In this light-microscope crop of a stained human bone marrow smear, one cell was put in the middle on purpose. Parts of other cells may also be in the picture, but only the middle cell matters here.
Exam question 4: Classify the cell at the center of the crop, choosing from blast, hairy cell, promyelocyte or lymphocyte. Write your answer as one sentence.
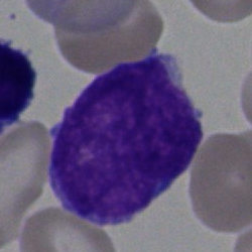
In the centre of this crop there is a blast.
